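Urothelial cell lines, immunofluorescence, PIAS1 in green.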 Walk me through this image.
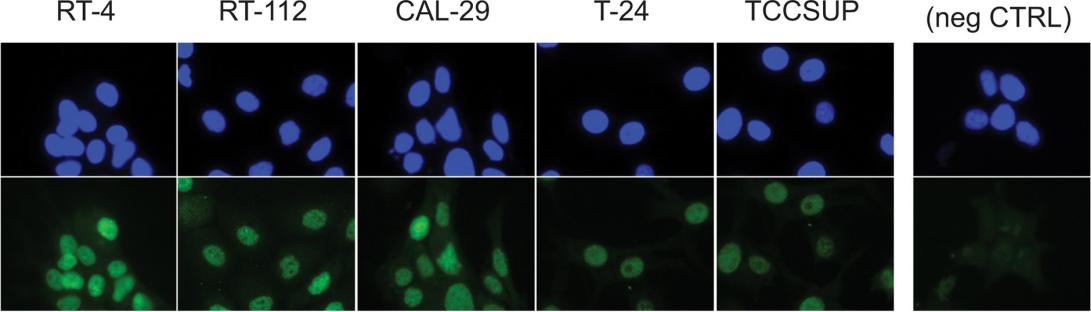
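The nuclei are round to oval, smooth-edged and lie singly or in loose clusters, with some variation in size between columns. In the green images the brightest staining falls within round bodies matching the nuclei, often with a finely granular texture, while the surrounding cytoplasm is dimmer and outlines the cell bodies faintly. The rightmost column shows only weak, diffuse green with no bright nuclear staining.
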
